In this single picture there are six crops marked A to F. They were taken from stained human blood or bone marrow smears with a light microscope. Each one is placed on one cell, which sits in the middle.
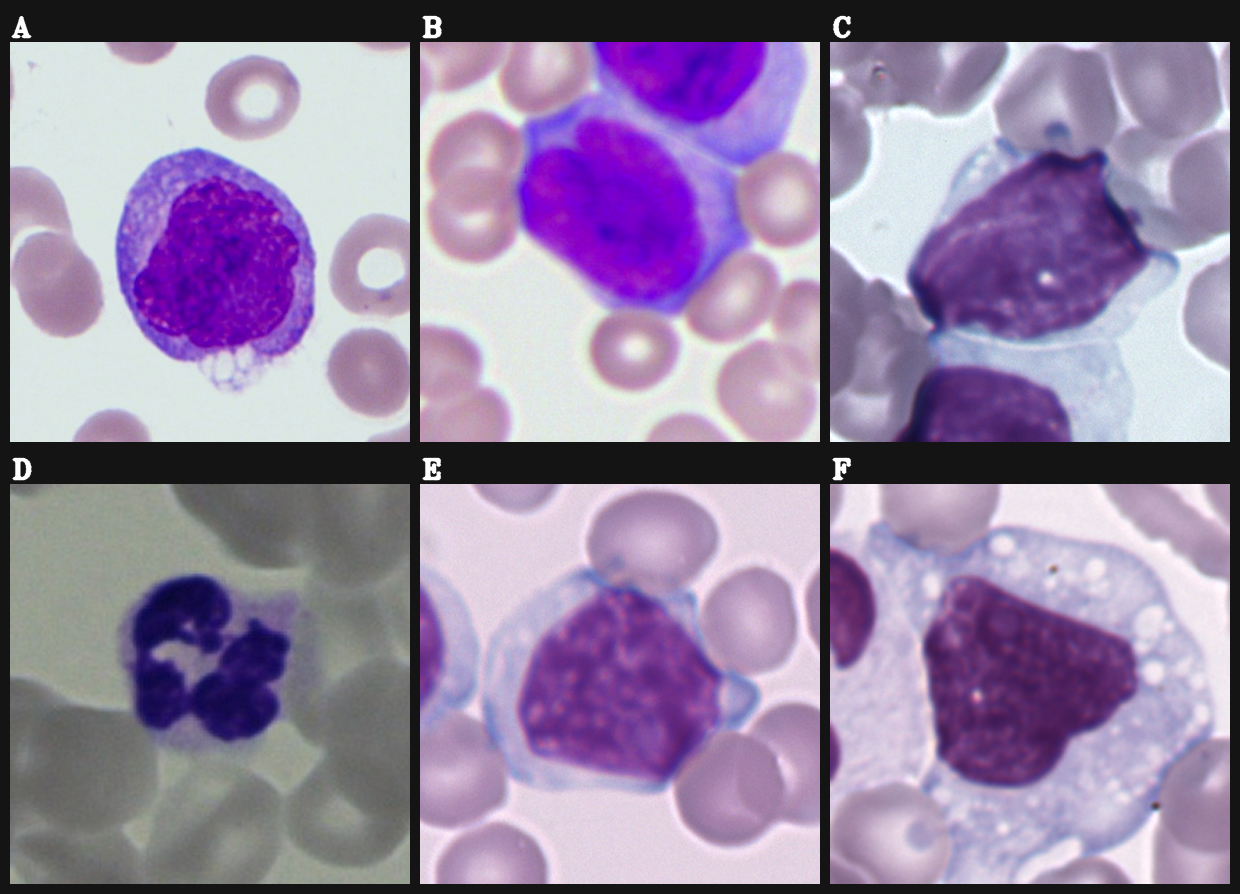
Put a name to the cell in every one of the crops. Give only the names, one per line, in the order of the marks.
monocyte
blast
blast
neutrophil
blast
monocyte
